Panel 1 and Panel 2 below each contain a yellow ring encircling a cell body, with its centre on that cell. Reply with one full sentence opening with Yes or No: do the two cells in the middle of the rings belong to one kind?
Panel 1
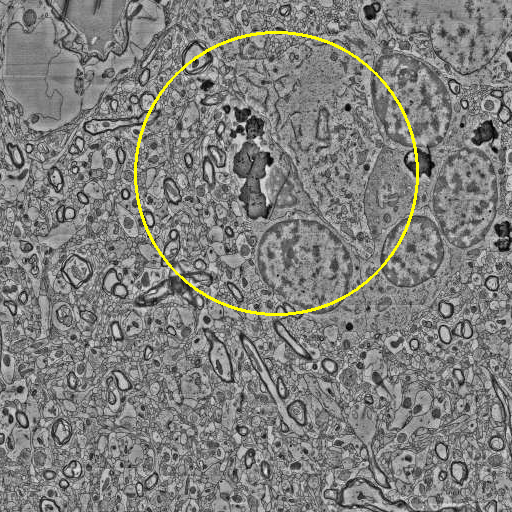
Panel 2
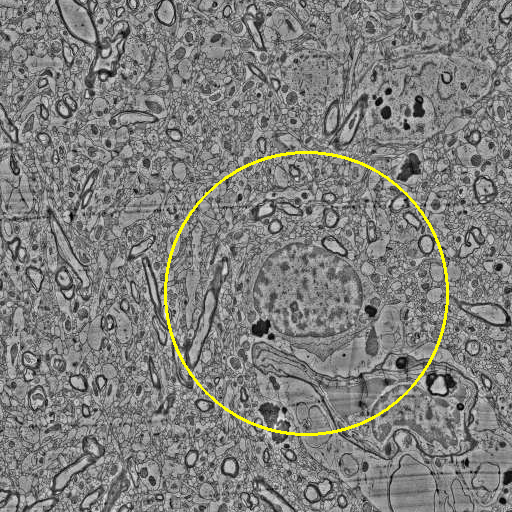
Yes, the cells at the middle of the Panel 1 ring and the Panel 2 ring are of one kind.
